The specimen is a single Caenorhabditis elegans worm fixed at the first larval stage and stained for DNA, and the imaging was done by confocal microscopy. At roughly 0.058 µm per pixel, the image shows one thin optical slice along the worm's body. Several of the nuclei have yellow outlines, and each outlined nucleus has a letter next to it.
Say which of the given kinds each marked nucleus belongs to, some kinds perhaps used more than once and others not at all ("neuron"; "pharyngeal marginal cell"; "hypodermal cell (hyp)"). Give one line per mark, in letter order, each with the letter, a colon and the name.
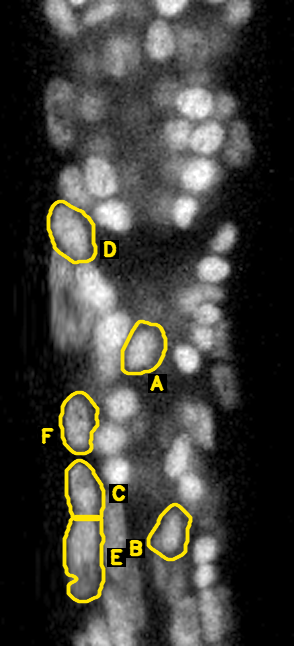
A: neuron
B: neuron
C: hypodermal cell (hyp)
D: neuron
E: hypodermal cell (hyp)
F: hypodermal cell (hyp)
